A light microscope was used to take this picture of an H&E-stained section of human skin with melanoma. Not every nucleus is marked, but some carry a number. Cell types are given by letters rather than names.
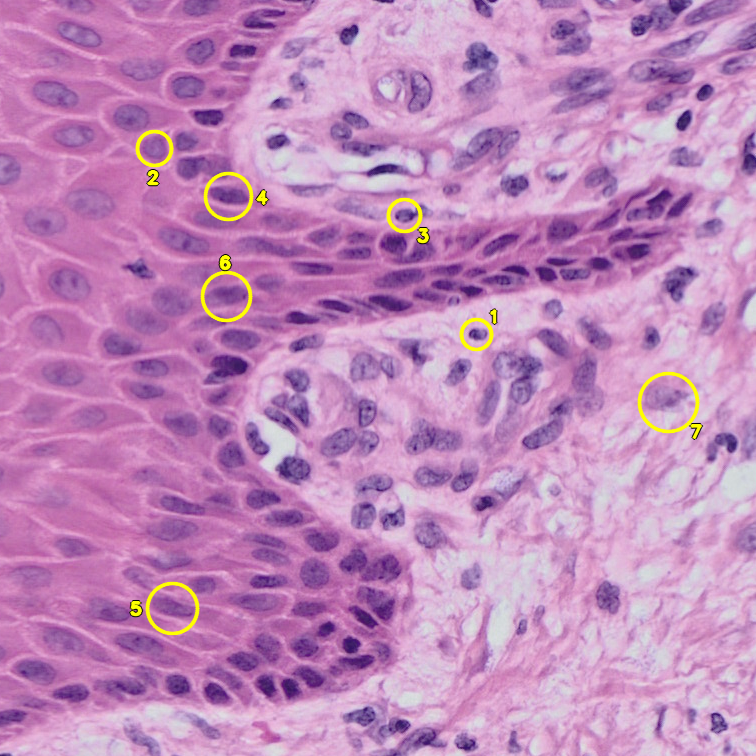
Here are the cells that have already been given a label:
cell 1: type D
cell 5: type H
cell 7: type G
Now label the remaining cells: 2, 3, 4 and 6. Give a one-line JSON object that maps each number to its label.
{"2": "type H", "3": "type D", "4": "type H", "6": "type H"}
